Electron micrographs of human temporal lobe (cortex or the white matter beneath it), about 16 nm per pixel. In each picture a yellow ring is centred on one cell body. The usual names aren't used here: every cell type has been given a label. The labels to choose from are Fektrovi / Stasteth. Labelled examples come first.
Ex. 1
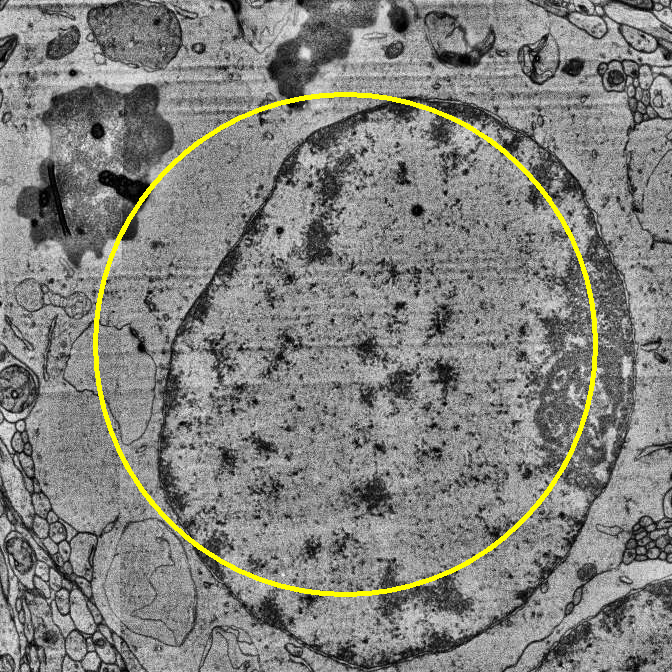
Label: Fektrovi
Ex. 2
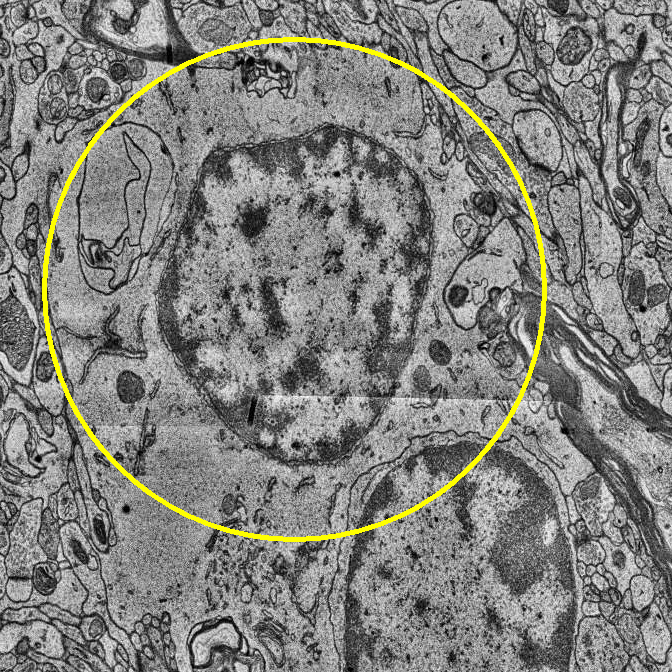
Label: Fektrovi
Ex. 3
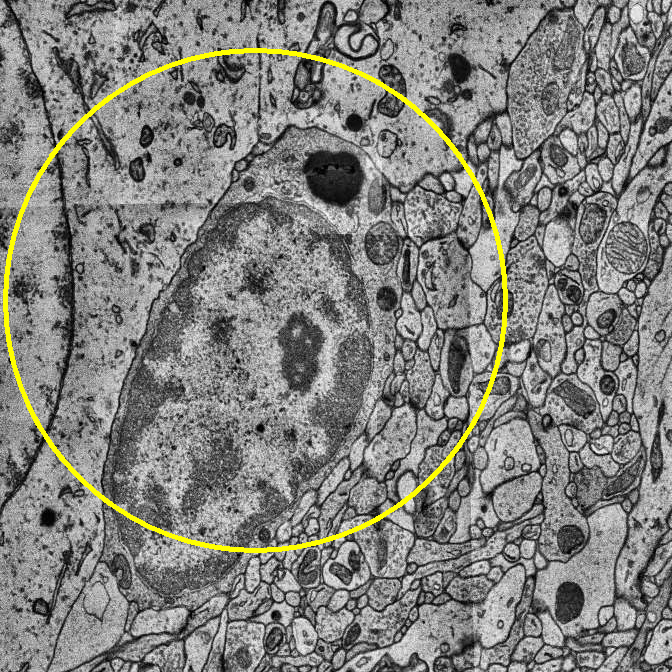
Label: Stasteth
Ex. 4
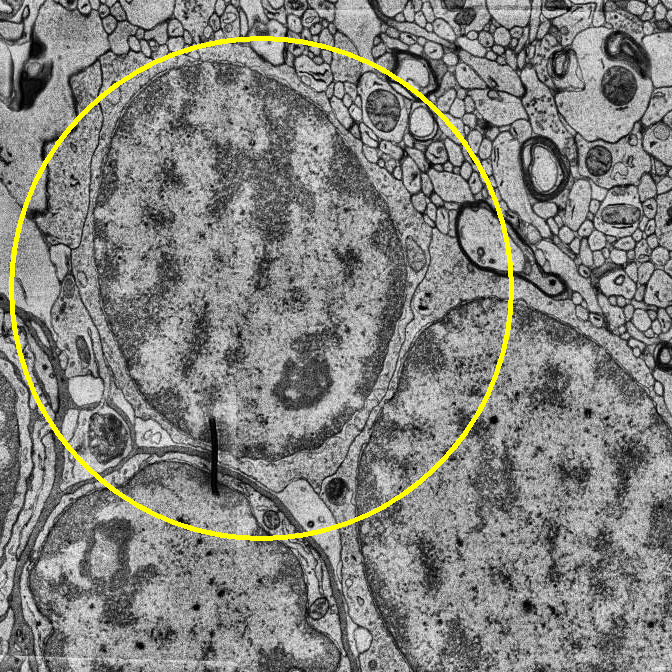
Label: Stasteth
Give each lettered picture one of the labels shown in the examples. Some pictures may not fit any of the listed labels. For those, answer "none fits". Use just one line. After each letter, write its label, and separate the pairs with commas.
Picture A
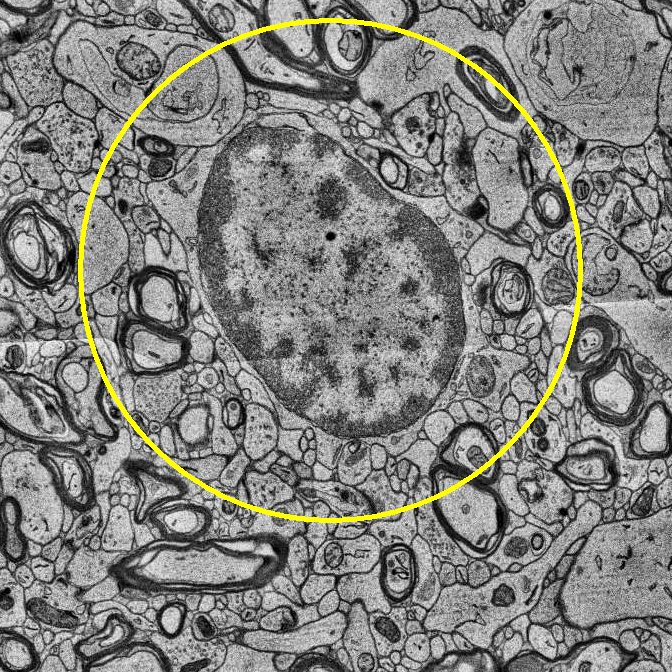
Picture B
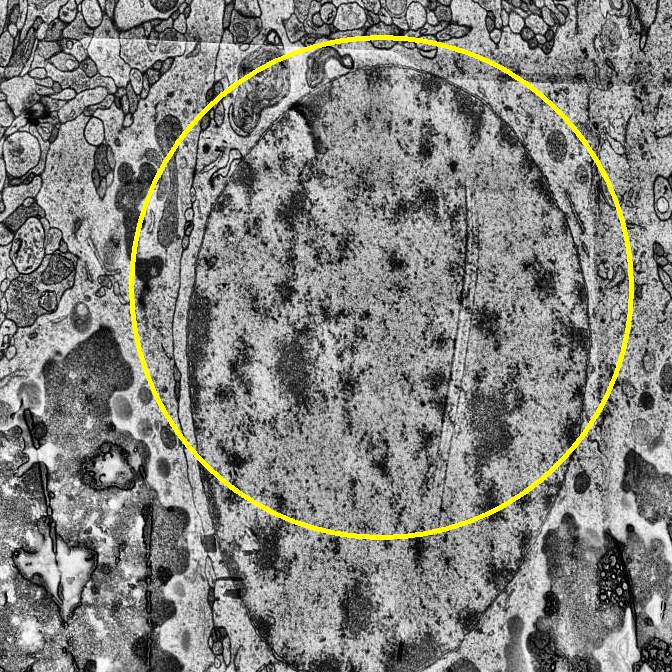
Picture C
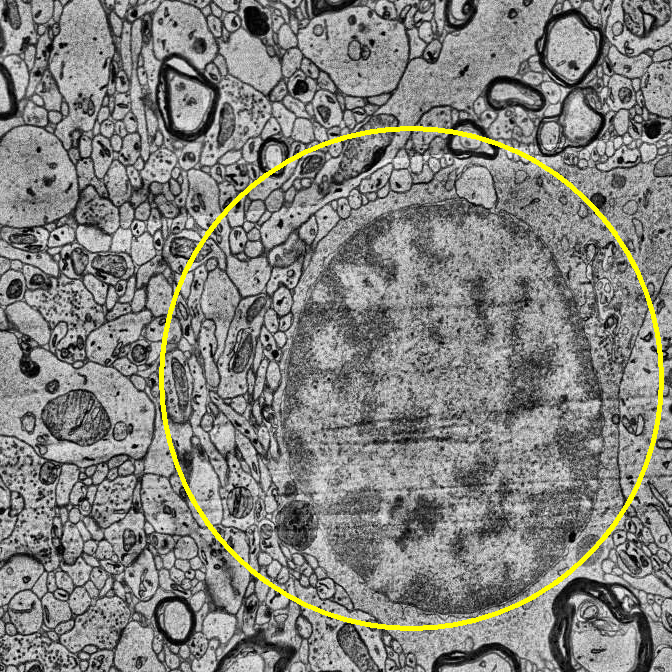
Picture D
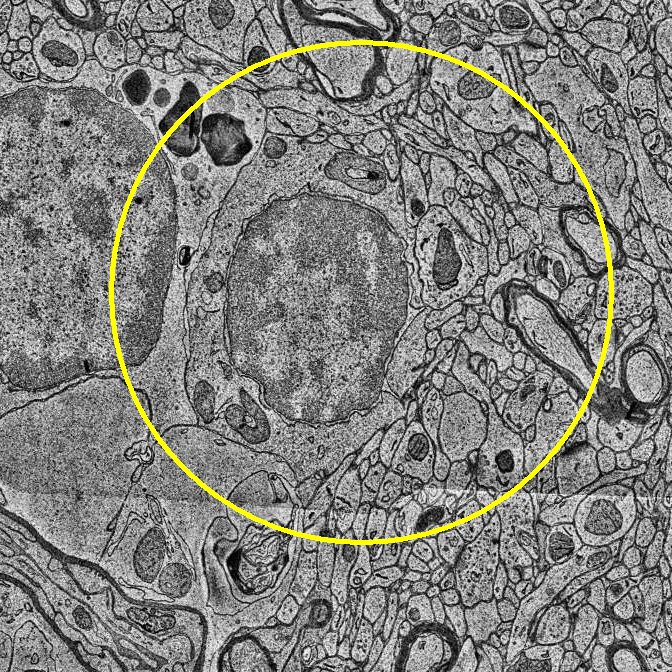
A none fits, B Fektrovi, C Stasteth, D Stasteth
